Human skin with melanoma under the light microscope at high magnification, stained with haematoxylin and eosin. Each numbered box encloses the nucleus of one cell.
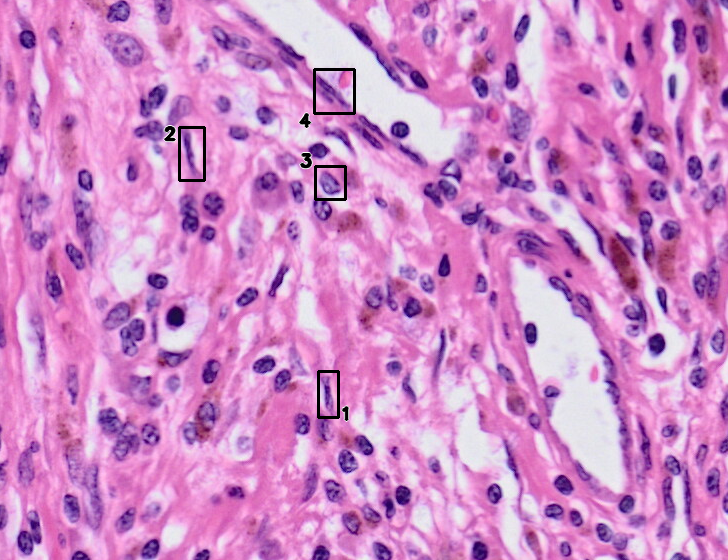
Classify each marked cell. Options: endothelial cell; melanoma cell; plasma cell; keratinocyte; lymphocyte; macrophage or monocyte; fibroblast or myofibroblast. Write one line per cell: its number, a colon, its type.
1: fibroblast or myofibroblast
2: fibroblast or myofibroblast
3: lymphocyte
4: endothelial cell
